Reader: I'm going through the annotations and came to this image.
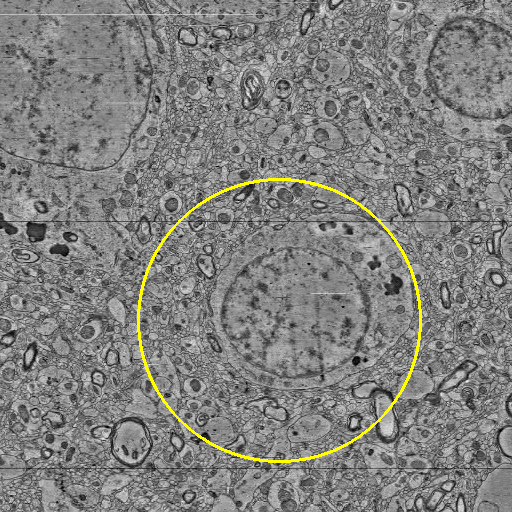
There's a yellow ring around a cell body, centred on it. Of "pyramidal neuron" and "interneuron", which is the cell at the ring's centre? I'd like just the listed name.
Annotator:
interneuron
